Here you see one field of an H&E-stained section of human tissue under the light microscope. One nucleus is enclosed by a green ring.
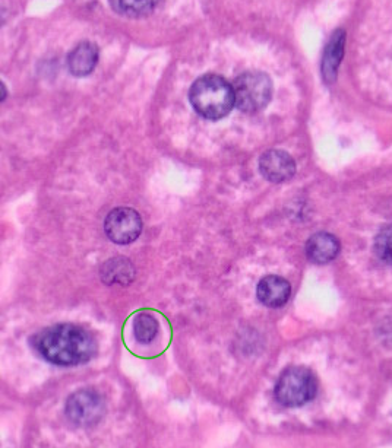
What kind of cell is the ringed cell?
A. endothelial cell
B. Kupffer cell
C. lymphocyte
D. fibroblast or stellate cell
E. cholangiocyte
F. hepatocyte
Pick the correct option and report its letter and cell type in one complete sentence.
Option B properly identifies the ringed cell as a Kupffer cell.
